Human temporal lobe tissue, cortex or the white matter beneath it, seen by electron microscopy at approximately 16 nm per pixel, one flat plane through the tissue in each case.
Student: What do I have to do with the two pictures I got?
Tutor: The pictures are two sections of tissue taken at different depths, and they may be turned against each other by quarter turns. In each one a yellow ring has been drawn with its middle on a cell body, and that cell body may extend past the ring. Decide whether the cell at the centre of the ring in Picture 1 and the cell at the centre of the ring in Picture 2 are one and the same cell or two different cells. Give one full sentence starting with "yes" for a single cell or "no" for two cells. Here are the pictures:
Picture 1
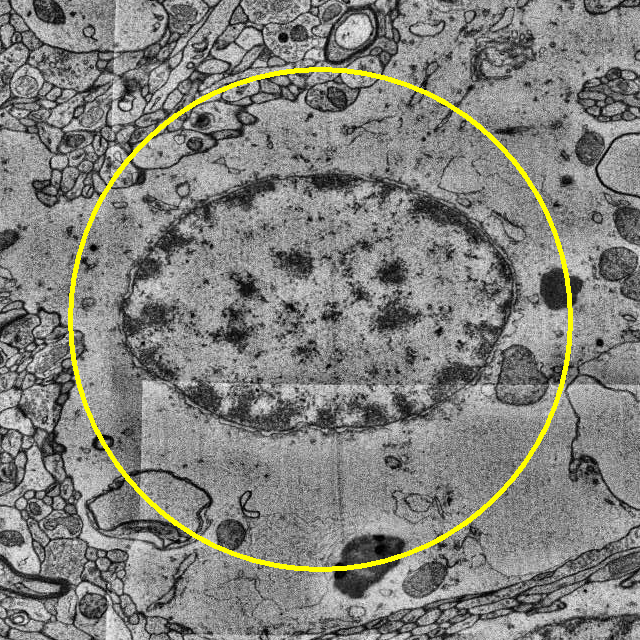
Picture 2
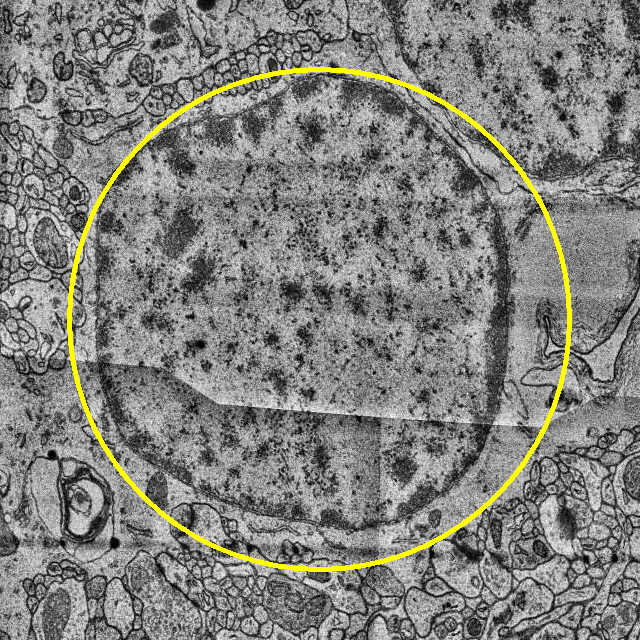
No, the rings mark separate cells, one per ring.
